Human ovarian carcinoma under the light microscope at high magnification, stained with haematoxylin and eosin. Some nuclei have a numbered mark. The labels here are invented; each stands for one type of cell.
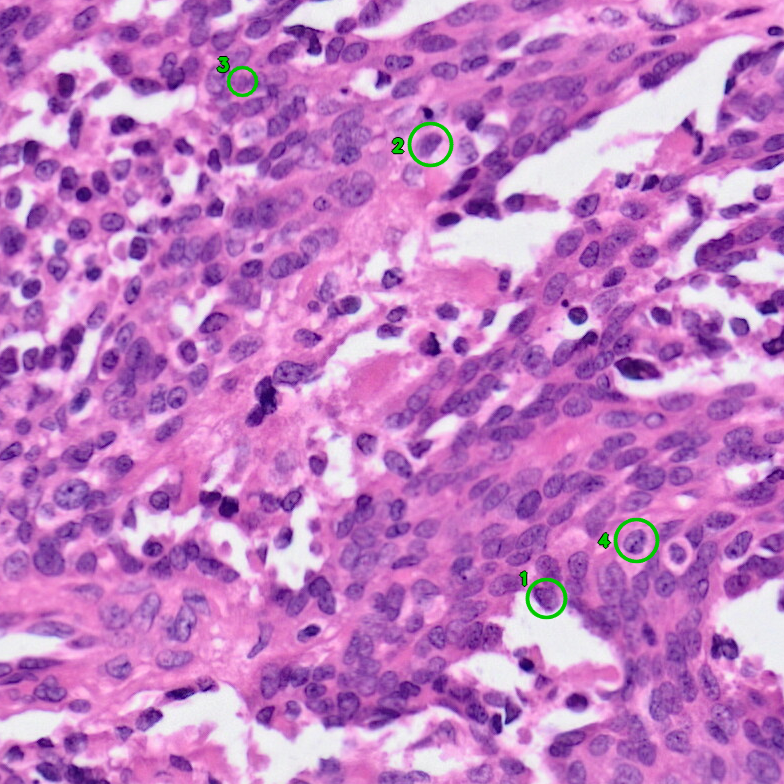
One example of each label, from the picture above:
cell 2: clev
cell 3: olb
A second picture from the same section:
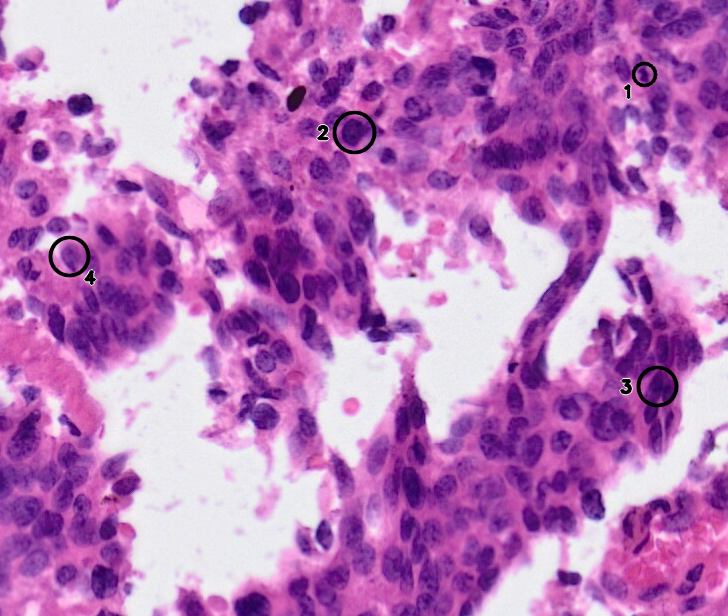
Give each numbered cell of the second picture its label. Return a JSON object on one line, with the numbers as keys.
{"1": "clev", "2": "olb", "3": "olb", "4": "olb"}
